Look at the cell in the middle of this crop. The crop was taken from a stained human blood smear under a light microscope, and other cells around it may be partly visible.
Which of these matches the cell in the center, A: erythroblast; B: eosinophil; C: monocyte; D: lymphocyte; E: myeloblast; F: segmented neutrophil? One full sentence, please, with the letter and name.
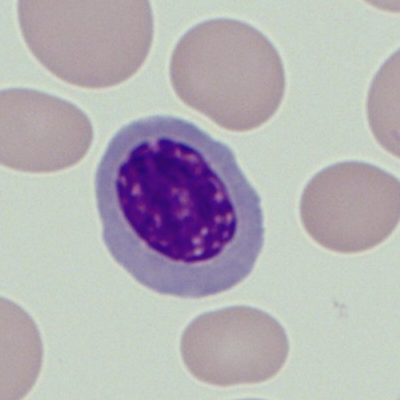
Since the cell in the middle is an erythroblast, option A is correct.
